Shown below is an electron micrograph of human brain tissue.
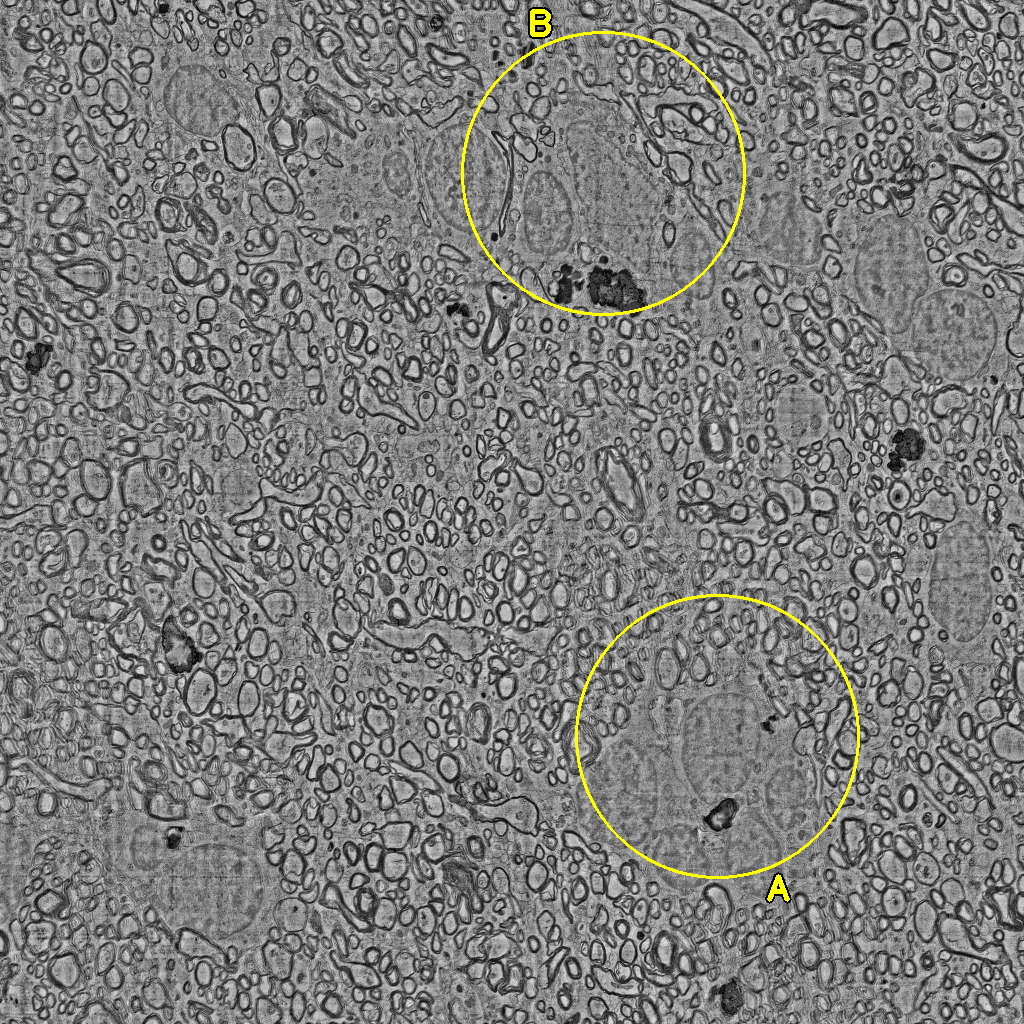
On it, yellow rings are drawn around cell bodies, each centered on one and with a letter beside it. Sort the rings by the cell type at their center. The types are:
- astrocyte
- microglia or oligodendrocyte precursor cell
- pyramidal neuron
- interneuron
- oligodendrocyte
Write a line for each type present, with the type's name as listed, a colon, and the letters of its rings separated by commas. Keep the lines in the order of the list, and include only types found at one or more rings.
astrocyte: B
oligodendrocyte: A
